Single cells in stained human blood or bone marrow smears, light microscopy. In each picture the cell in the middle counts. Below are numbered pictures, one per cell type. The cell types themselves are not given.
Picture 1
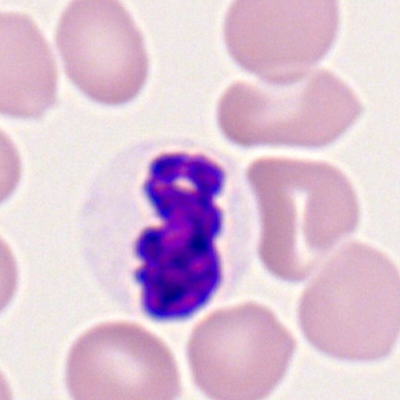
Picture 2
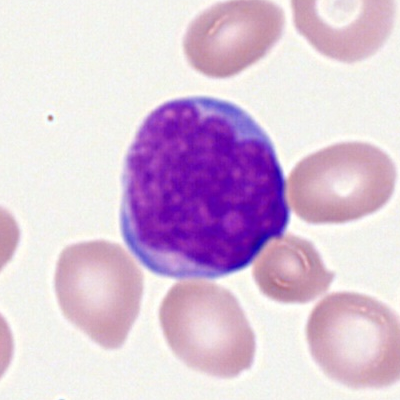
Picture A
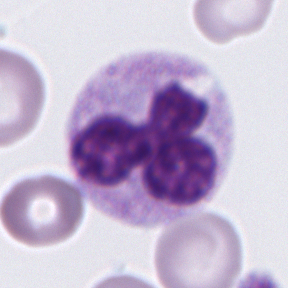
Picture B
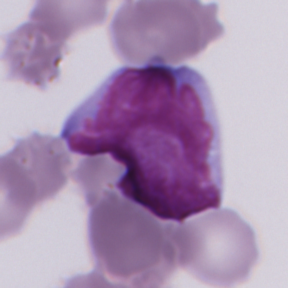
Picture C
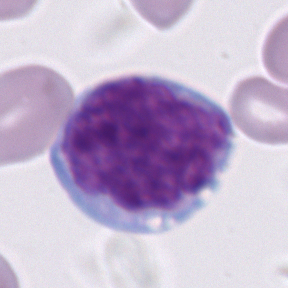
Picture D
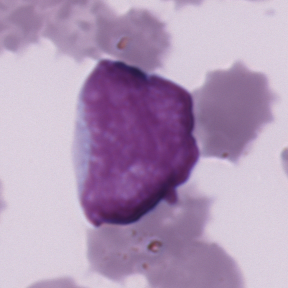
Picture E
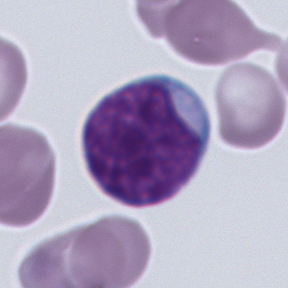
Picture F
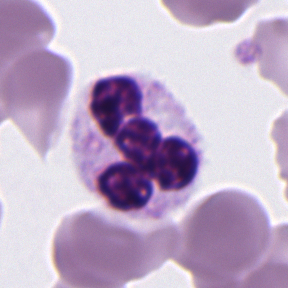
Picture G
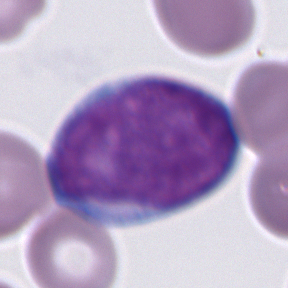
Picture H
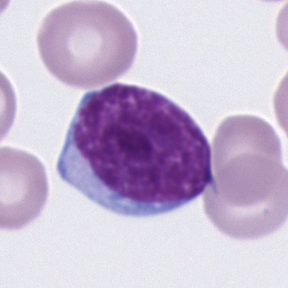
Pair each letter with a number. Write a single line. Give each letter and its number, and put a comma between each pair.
A 1, B 2, C 2, D 2, E 2, F 1, G 2, H 2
